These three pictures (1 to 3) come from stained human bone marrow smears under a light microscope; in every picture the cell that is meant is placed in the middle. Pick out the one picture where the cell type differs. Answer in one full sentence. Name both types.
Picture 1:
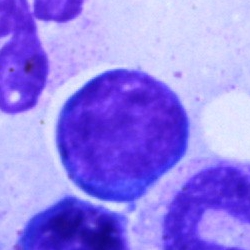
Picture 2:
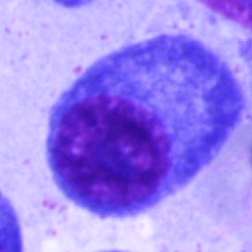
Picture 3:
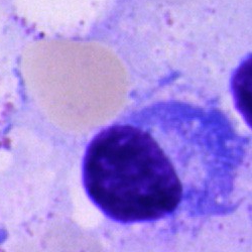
The different one is picture 1; it shows a lymphocyte, whereas all the others show plasma cells.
